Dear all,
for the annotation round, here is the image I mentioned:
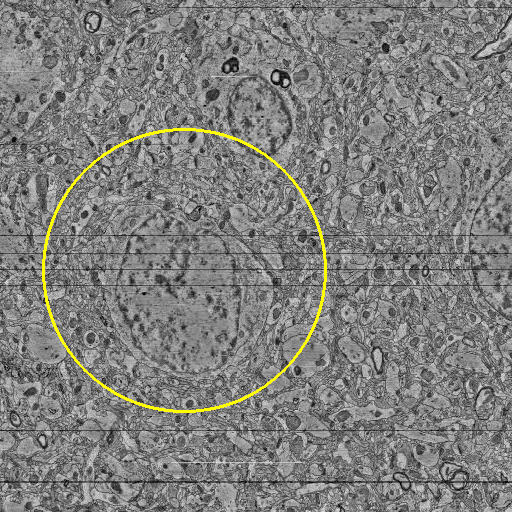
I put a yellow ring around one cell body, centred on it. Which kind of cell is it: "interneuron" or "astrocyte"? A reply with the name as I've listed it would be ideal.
interneuron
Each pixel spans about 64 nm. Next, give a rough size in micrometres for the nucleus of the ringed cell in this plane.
The nucleus comes to roughly 11 by 8 micrometres in this plane.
